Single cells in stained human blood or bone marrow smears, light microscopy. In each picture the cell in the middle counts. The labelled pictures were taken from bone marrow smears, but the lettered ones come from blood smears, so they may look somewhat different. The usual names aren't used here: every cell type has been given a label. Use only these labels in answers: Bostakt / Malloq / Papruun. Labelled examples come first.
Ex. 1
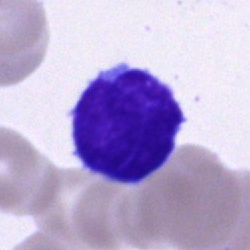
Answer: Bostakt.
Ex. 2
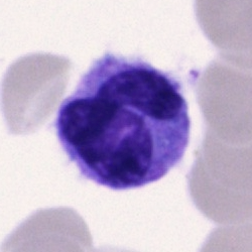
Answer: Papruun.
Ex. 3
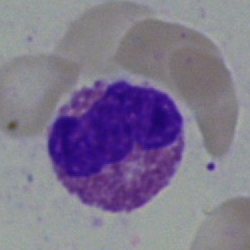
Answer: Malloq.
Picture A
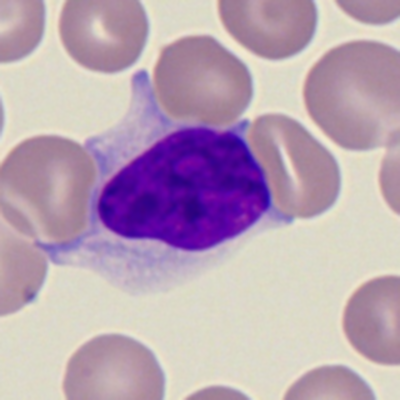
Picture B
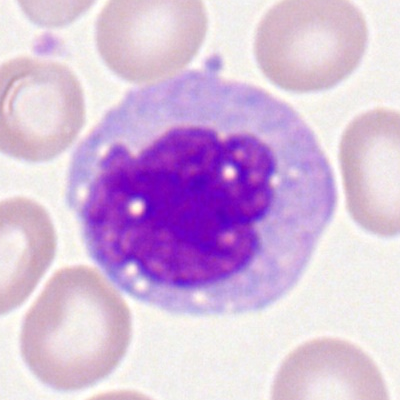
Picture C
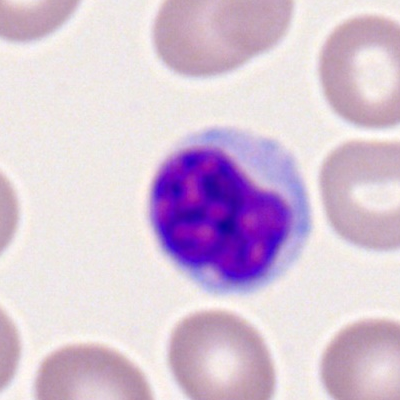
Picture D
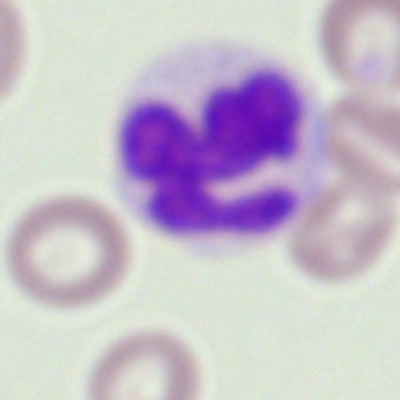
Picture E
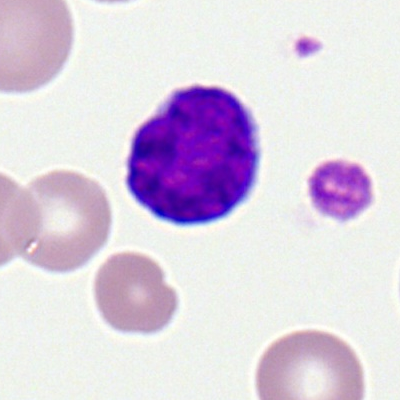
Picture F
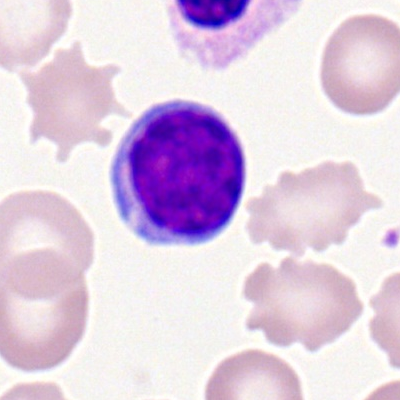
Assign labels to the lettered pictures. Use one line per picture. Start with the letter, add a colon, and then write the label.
A: Bostakt.
B: Papruun.
C: Bostakt.
D: Papruun.
E: Bostakt.
F: Bostakt.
